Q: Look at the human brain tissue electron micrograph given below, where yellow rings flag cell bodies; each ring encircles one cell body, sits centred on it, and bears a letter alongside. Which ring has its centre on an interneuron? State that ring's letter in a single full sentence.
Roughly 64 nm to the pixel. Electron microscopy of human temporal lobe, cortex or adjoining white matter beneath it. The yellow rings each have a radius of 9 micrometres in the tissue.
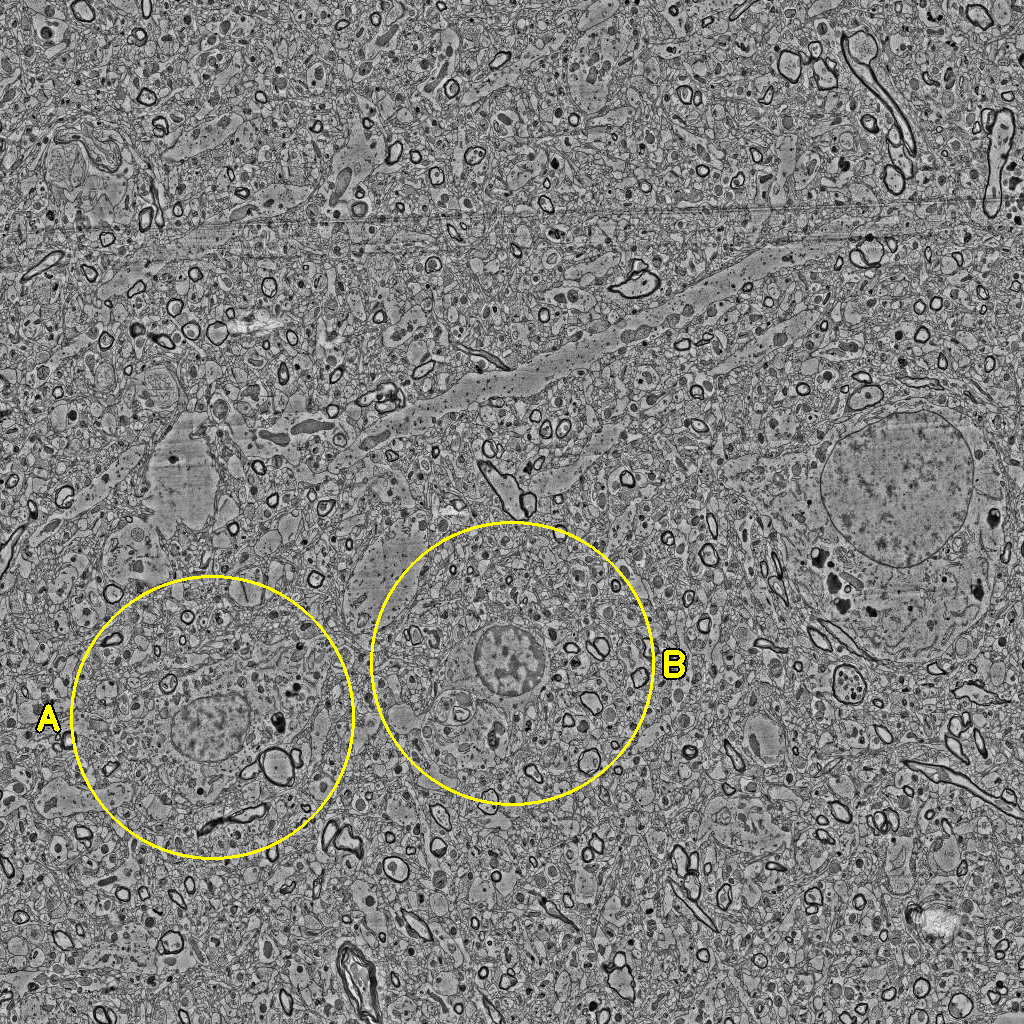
In the picture, the cell of that kind sits at the centre of ring A.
